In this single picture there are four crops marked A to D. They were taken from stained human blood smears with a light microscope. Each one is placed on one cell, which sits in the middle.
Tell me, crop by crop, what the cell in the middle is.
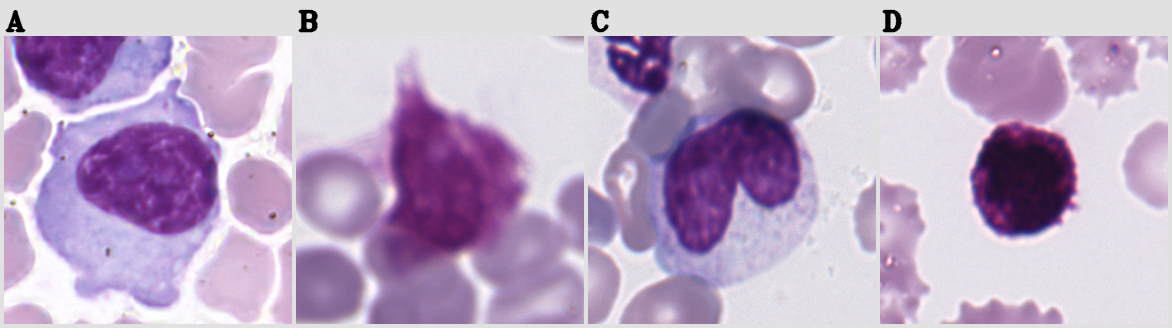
A: plasma cell
B: smudge cell
C: metamyelocyte
D: basophil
